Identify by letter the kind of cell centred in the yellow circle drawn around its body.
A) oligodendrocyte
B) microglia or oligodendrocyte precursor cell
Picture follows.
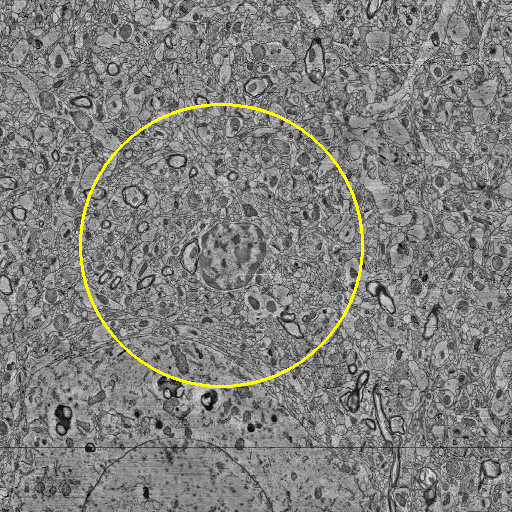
B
